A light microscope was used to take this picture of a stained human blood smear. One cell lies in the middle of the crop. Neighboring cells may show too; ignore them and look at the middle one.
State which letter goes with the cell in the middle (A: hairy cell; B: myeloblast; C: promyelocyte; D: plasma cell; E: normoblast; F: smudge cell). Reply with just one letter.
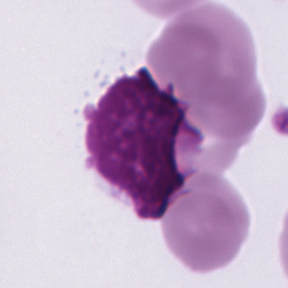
F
